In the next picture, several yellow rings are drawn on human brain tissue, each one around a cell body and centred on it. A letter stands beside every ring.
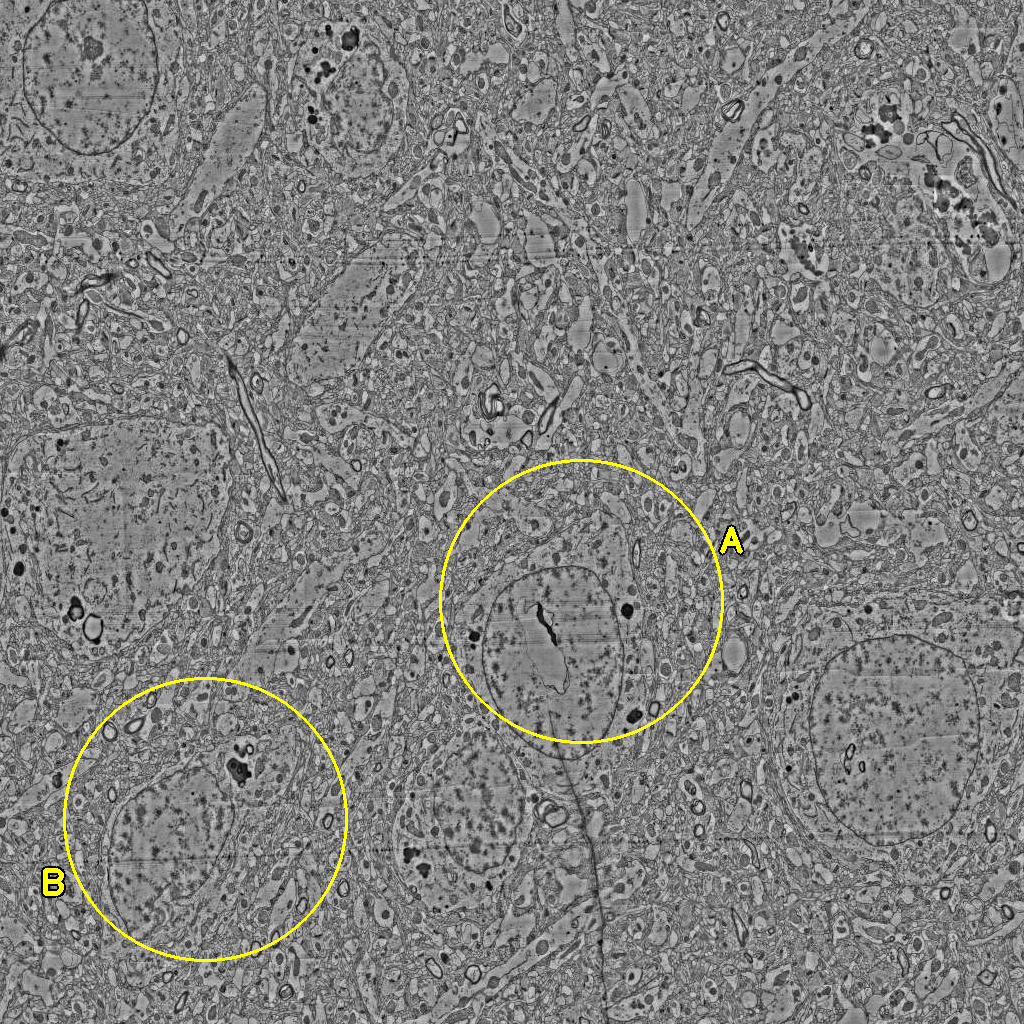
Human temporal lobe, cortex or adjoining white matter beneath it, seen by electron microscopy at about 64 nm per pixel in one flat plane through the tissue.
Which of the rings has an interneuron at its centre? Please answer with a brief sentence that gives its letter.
Ring B has it at its centre.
